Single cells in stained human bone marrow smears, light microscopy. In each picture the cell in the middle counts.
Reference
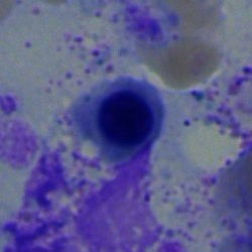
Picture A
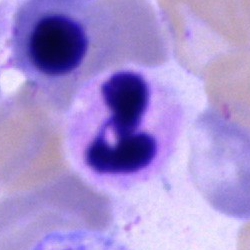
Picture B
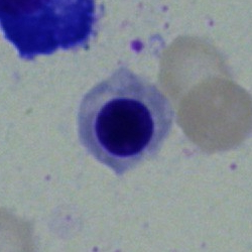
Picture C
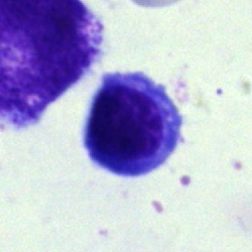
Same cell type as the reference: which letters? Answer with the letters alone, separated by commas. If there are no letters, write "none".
B, C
